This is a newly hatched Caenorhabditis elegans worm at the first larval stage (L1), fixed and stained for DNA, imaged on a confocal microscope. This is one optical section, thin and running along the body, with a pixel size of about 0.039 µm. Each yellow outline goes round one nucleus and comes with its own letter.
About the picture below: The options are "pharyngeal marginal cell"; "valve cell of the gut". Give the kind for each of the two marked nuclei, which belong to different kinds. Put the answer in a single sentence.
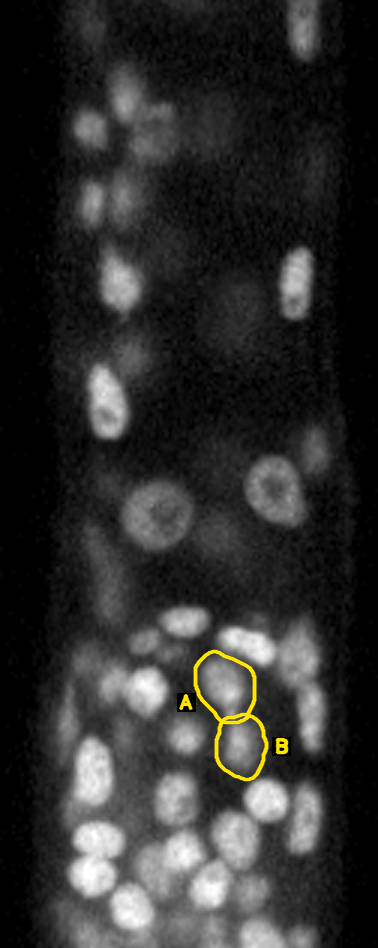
A is from a valve cell of the gut, and B is from a pharyngeal marginal cell.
